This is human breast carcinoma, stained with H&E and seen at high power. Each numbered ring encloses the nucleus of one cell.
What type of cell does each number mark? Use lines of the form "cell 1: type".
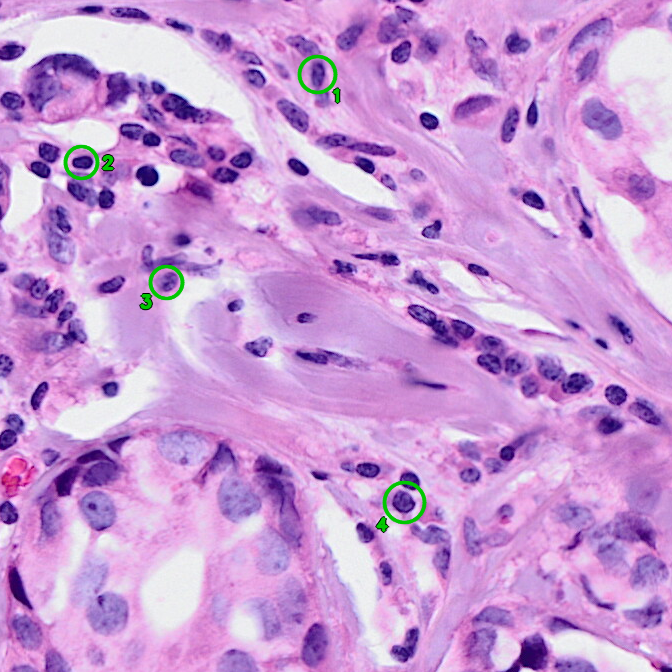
cell 1: lymphocyte
cell 2: lymphocyte
cell 3: mast cell
cell 4: lymphocyte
